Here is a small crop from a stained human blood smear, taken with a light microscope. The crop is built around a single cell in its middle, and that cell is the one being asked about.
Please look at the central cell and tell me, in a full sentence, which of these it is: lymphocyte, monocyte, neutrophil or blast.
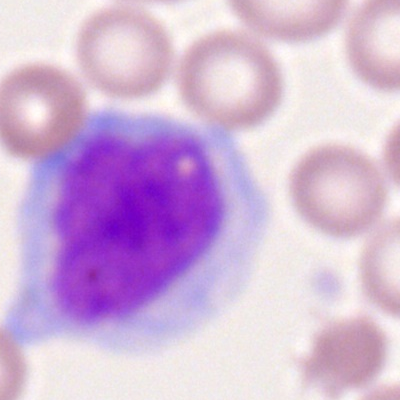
The crop shows a monocyte in its centre.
